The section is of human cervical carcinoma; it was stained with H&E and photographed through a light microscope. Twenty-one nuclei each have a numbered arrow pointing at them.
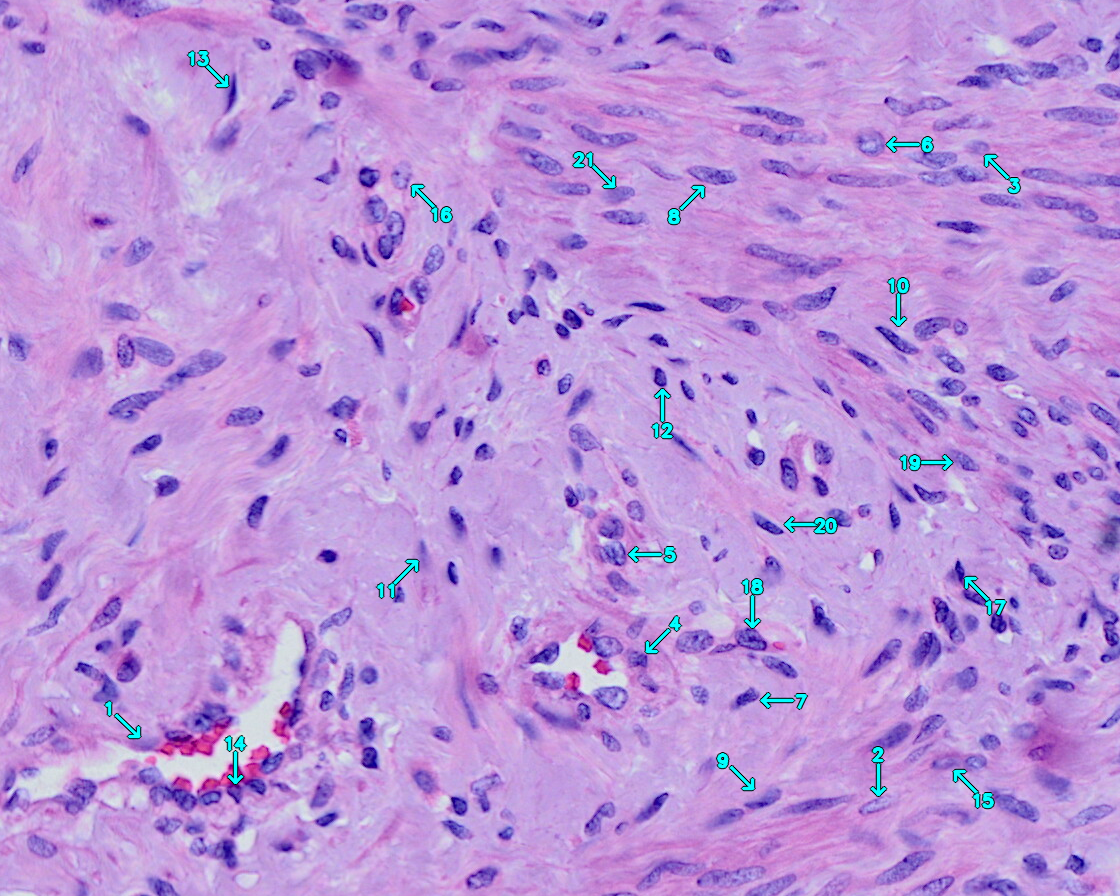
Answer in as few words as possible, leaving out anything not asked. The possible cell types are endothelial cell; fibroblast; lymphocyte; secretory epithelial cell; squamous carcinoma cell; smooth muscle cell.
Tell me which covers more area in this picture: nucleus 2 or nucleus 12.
2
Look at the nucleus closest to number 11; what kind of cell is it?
fibroblast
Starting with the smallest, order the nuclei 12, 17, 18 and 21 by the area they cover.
17, 12, 21, 18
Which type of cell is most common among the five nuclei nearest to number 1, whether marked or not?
endothelial cell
